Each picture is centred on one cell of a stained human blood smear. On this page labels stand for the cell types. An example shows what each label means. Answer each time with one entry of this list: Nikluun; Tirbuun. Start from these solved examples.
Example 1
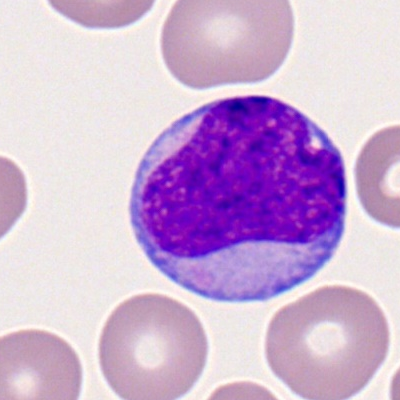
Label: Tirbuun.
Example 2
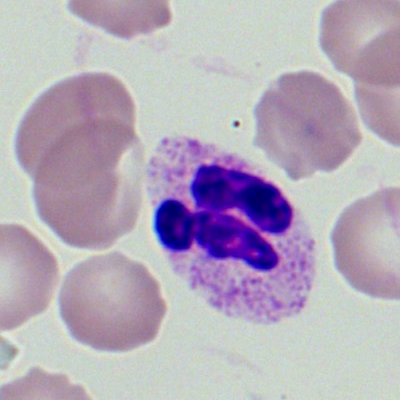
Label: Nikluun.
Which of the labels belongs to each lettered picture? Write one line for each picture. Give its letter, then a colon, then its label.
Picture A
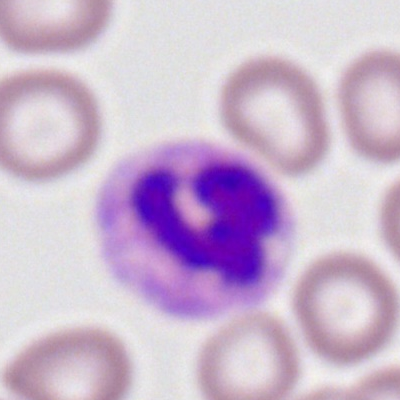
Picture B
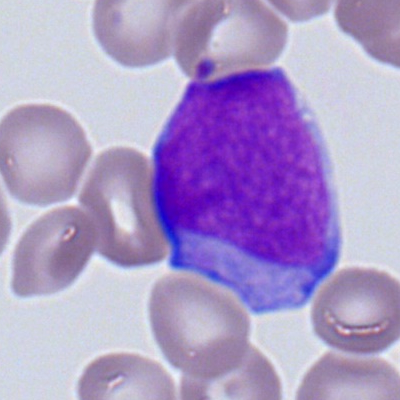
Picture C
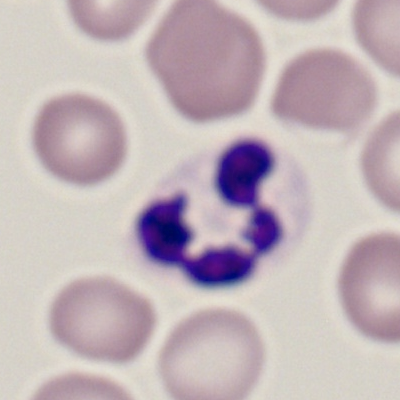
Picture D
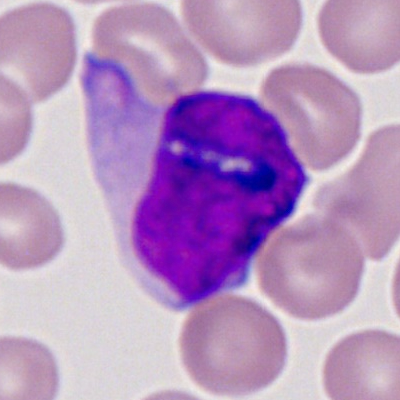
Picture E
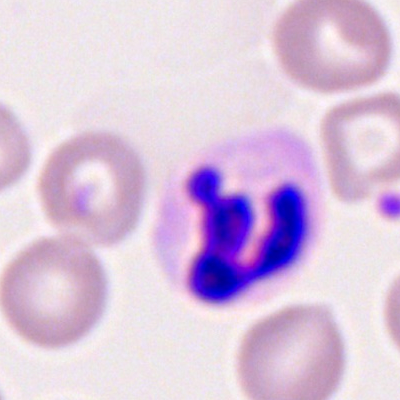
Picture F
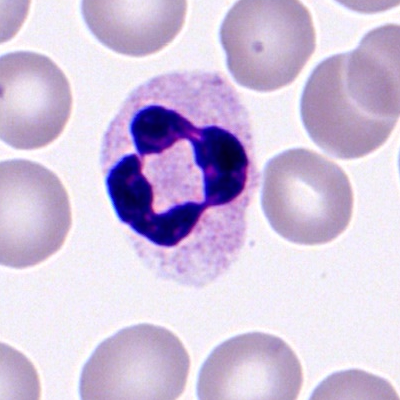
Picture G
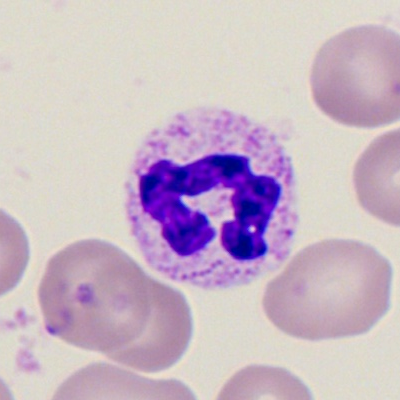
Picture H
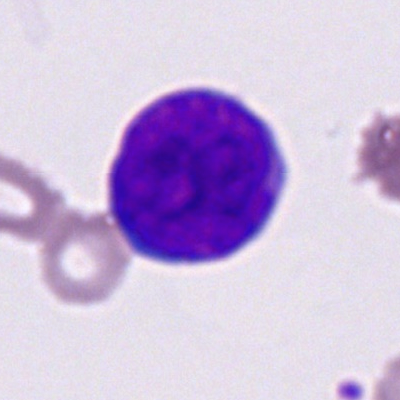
A: Nikluun.
B: Tirbuun.
C: Nikluun.
D: Tirbuun.
E: Nikluun.
F: Nikluun.
G: Nikluun.
H: Tirbuun.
